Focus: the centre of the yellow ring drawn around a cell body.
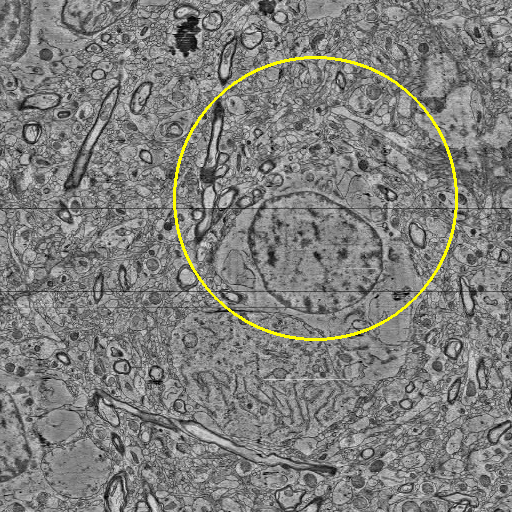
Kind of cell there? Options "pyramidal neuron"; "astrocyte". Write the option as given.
astrocyte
